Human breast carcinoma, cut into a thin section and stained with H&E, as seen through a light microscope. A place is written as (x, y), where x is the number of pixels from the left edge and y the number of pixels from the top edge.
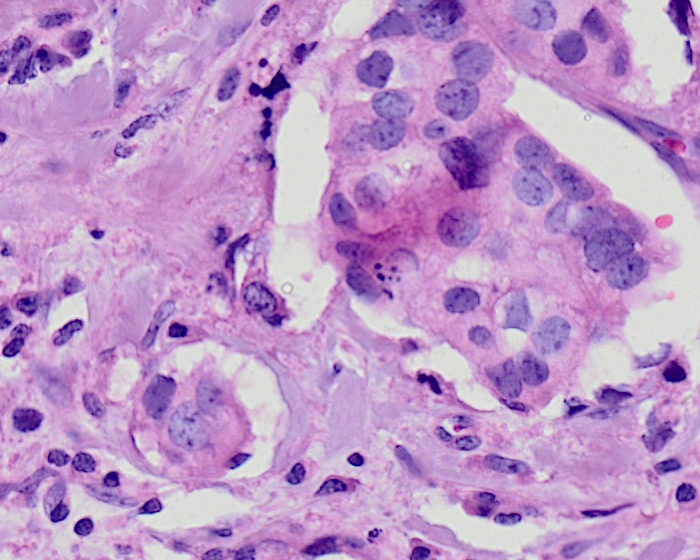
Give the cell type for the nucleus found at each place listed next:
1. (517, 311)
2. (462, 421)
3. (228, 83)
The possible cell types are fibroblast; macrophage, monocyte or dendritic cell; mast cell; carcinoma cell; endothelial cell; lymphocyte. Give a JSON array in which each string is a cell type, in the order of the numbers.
["carcinoma cell", "endothelial cell", "mast cell"]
